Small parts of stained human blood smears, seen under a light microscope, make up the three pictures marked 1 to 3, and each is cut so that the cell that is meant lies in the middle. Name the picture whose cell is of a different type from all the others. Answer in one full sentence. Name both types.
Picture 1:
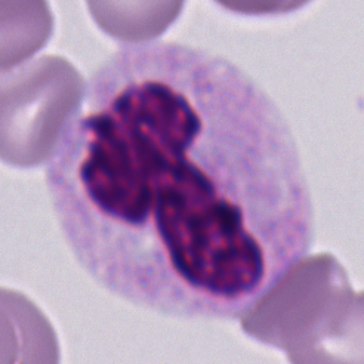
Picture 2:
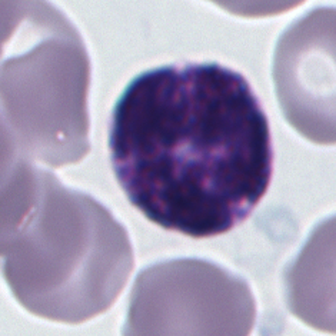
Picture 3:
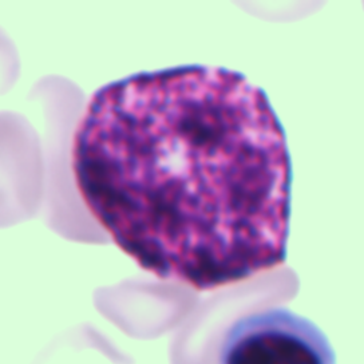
Unlike the rest, which show basophils, picture 1 shows a segmented neutrophil.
